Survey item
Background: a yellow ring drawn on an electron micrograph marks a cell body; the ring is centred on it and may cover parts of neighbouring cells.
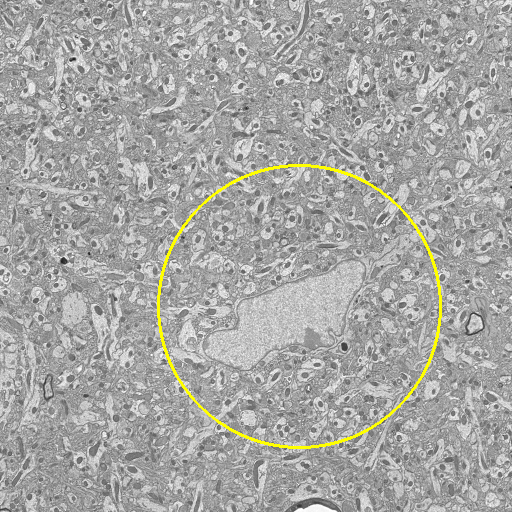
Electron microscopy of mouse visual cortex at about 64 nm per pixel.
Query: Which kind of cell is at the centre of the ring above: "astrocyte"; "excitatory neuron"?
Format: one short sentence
The cell in the middle of the ring is an astrocyte.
